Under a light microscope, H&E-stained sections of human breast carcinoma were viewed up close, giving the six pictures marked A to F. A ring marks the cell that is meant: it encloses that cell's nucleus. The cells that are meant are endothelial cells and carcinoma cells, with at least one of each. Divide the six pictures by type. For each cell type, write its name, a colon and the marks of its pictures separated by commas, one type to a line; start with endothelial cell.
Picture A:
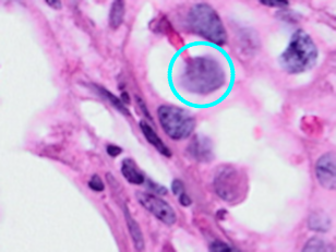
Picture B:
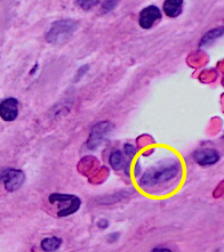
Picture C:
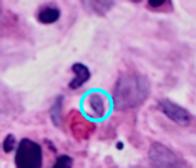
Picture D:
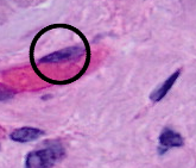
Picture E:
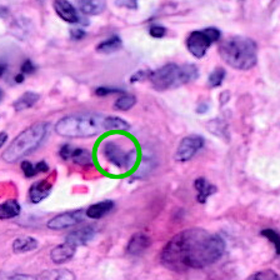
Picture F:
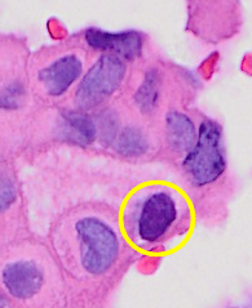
endothelial cell: B, C, D, E
carcinoma cell: A, F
